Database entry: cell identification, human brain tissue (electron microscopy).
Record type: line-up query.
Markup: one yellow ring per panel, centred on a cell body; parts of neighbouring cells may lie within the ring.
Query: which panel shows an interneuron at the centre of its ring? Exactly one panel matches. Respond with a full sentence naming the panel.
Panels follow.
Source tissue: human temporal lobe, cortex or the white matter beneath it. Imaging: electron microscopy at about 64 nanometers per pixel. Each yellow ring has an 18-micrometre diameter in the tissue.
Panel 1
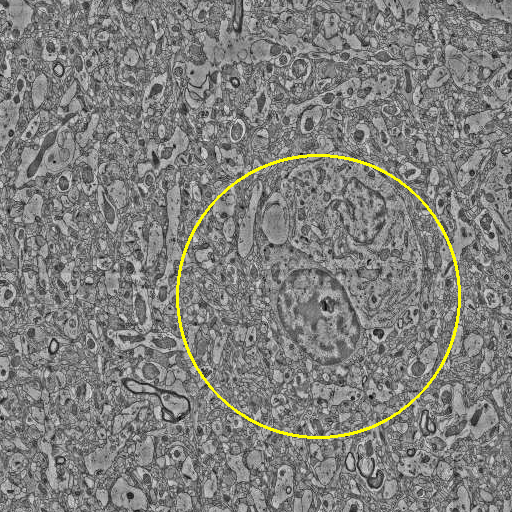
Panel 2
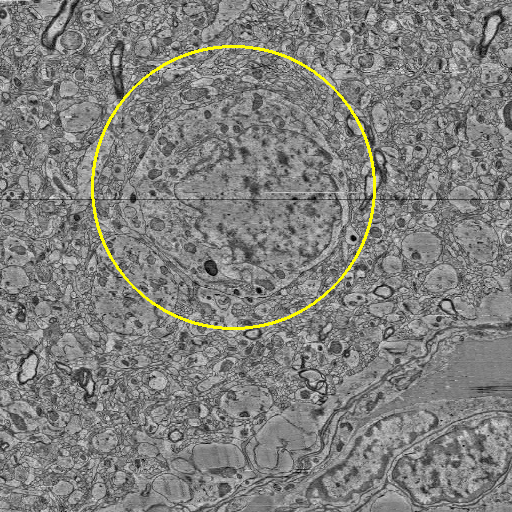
Panel 2 shows it at the centre of the ring.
